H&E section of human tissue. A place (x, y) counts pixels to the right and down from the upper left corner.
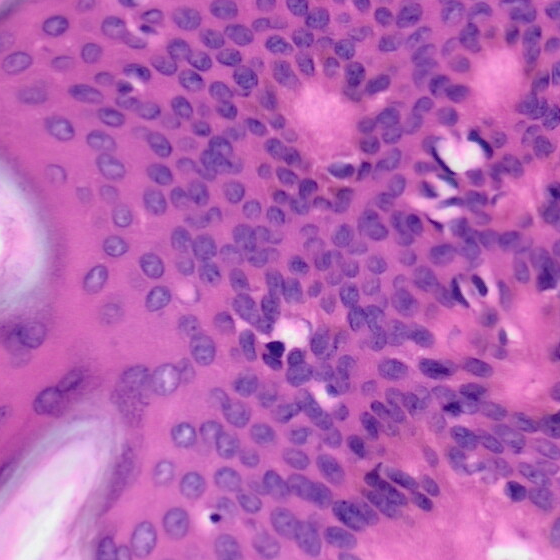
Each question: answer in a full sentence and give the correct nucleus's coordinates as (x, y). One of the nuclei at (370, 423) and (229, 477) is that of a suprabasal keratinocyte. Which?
Among the two nuclei, the one lying at (229, 477) is part of a suprabasal keratinocyte.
